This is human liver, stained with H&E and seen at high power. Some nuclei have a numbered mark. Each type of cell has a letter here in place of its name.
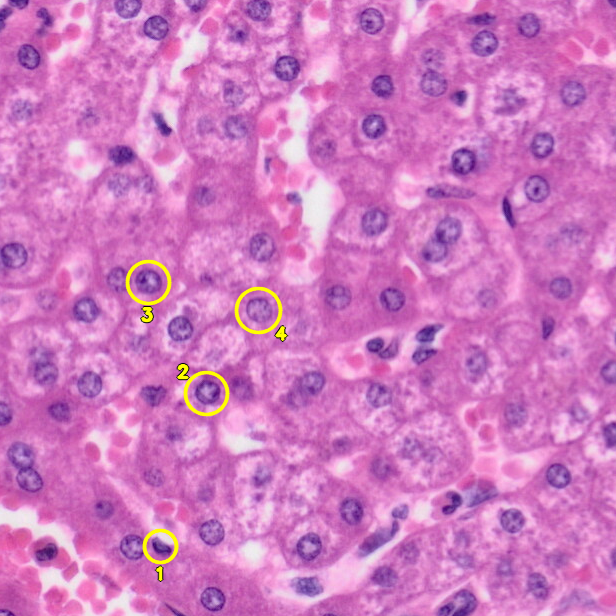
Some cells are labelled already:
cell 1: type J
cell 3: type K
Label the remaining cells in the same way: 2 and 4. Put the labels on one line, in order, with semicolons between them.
type K; type K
